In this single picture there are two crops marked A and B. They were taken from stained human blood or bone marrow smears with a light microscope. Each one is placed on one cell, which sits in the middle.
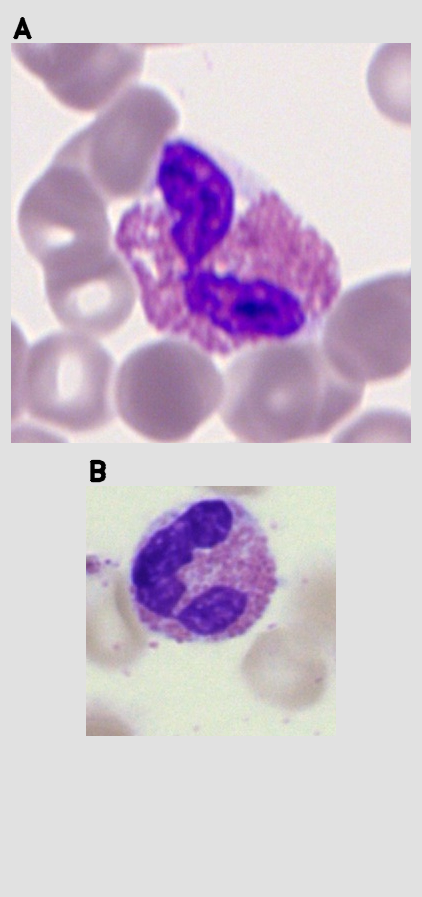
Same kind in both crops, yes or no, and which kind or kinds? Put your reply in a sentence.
Yes, they do, both crops show eosinophils.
